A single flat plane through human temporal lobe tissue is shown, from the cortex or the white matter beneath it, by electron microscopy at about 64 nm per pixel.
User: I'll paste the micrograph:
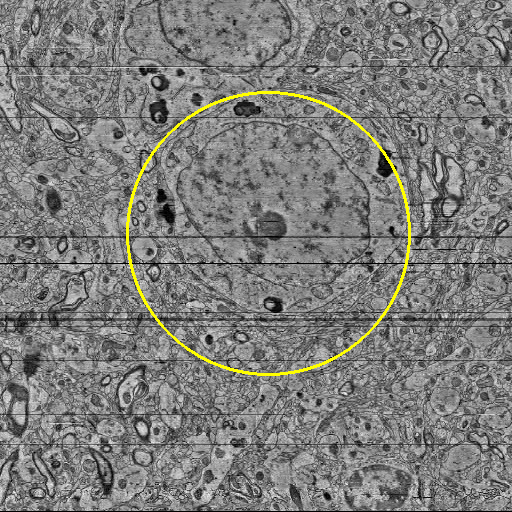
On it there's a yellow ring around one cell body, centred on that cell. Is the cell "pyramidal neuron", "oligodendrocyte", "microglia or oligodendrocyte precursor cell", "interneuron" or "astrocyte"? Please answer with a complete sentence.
The cell ringed in yellow is a pyramidal neuron.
